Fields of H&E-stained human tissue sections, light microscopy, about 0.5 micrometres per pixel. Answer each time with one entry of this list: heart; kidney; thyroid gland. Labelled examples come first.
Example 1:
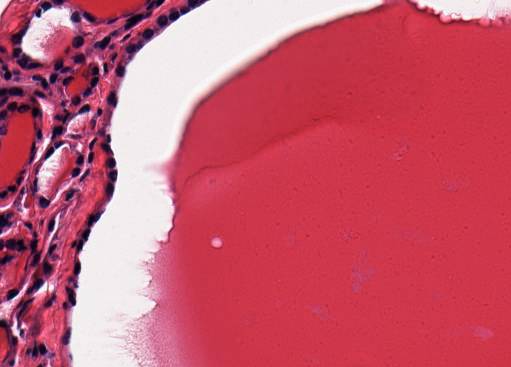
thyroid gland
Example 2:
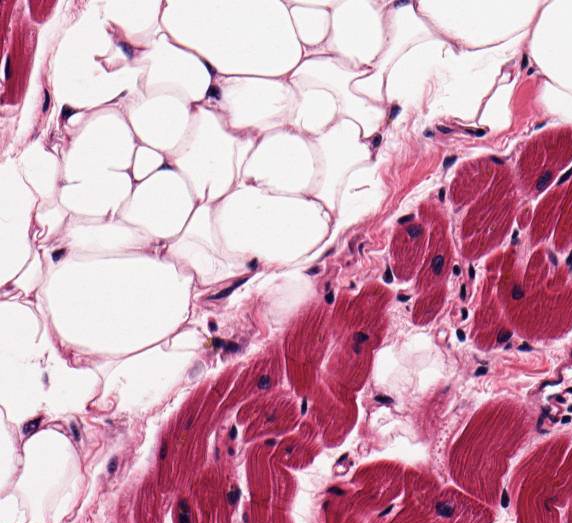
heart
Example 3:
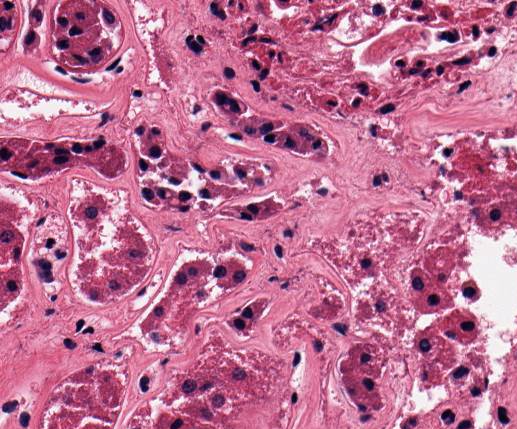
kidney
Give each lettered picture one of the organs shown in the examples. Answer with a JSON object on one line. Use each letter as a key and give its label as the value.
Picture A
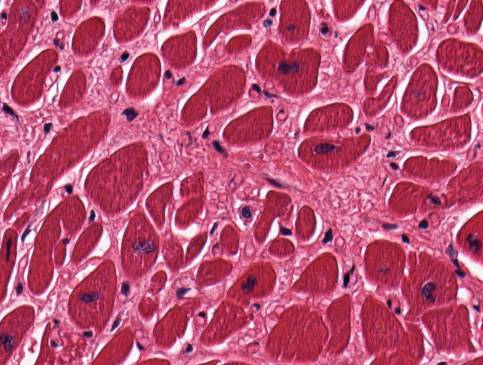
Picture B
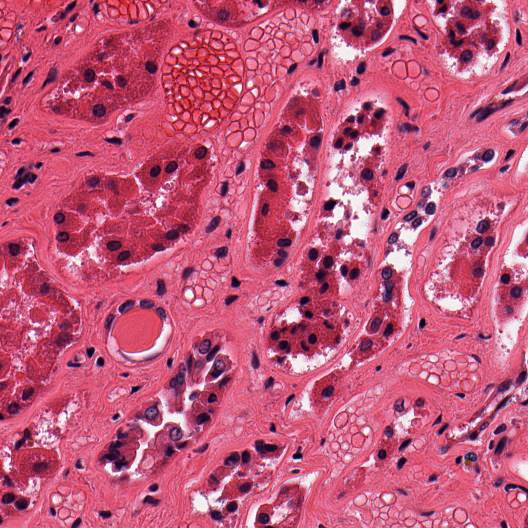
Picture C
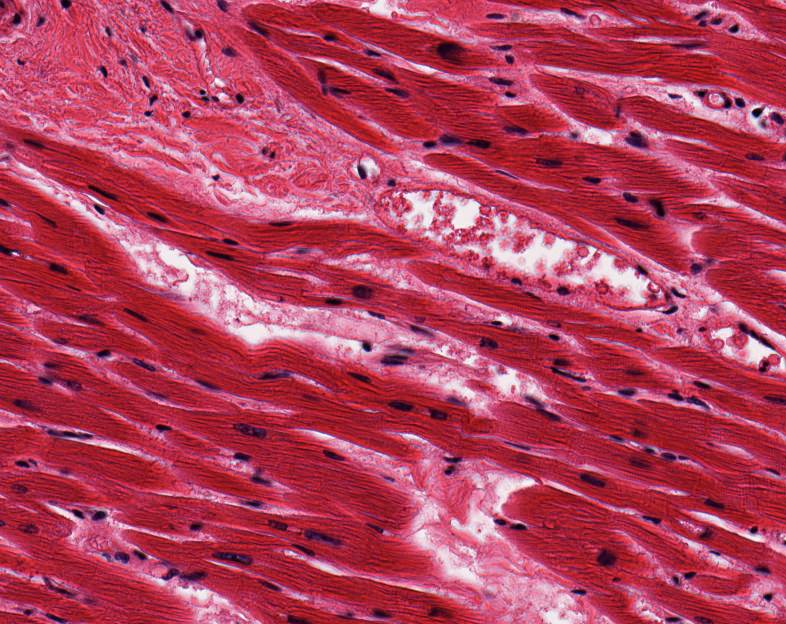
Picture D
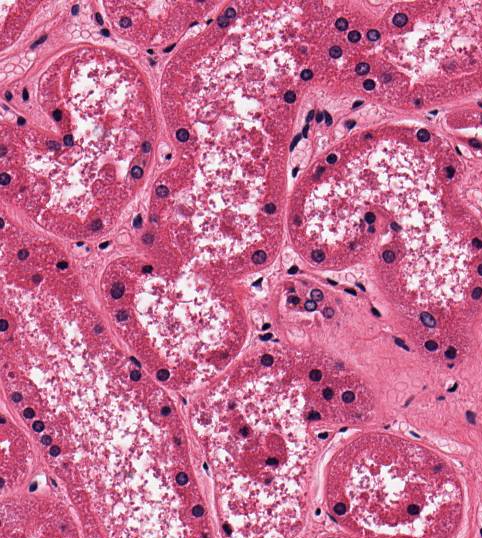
{"A": "heart", "B": "kidney", "C": "heart", "D": "kidney"}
